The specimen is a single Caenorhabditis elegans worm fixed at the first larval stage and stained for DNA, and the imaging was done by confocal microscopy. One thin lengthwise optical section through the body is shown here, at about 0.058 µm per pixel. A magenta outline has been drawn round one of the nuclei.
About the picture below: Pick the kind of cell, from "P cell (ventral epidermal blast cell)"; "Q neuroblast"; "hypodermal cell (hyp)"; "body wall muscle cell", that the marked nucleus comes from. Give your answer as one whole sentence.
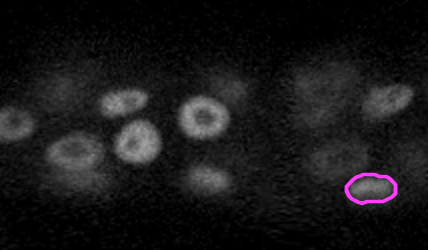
This nucleus is from a body wall muscle cell.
